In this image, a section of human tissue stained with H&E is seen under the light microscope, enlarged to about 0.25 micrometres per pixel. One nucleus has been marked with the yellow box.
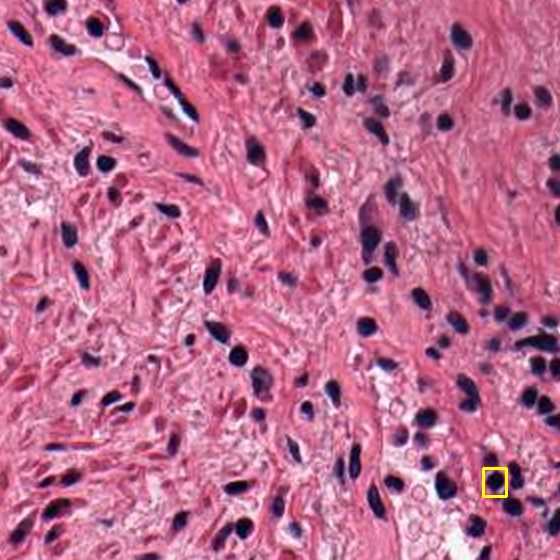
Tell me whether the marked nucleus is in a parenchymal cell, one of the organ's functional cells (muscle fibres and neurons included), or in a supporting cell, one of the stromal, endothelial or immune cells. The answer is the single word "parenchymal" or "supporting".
supporting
